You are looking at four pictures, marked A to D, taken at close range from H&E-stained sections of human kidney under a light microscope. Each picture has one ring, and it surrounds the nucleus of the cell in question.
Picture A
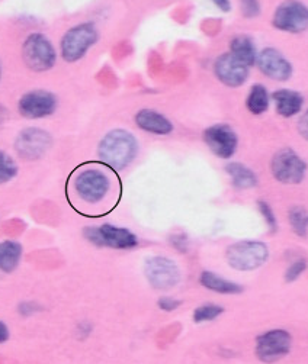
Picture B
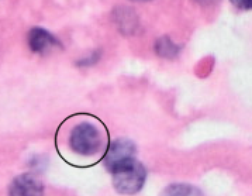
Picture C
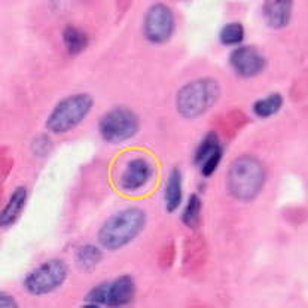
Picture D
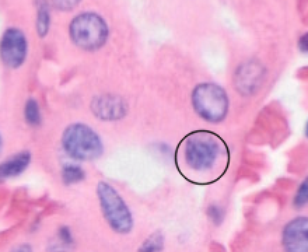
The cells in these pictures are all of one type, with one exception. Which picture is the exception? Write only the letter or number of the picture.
B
